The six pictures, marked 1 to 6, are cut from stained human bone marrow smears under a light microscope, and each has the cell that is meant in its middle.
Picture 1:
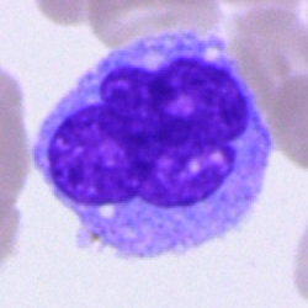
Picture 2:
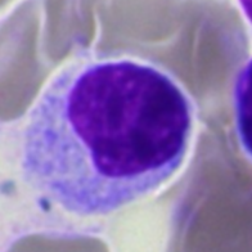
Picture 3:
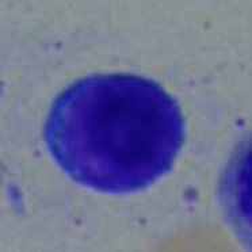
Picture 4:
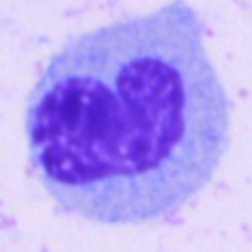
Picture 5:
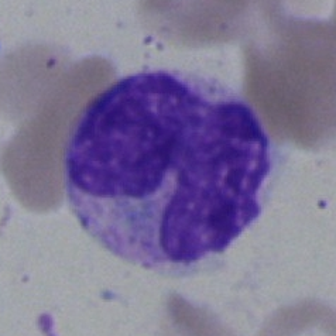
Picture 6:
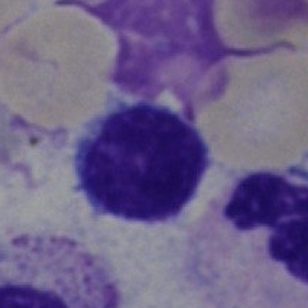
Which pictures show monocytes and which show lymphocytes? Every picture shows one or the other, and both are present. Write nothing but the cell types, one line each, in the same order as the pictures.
monocyte
lymphocyte
lymphocyte
monocyte
monocyte
lymphocyte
